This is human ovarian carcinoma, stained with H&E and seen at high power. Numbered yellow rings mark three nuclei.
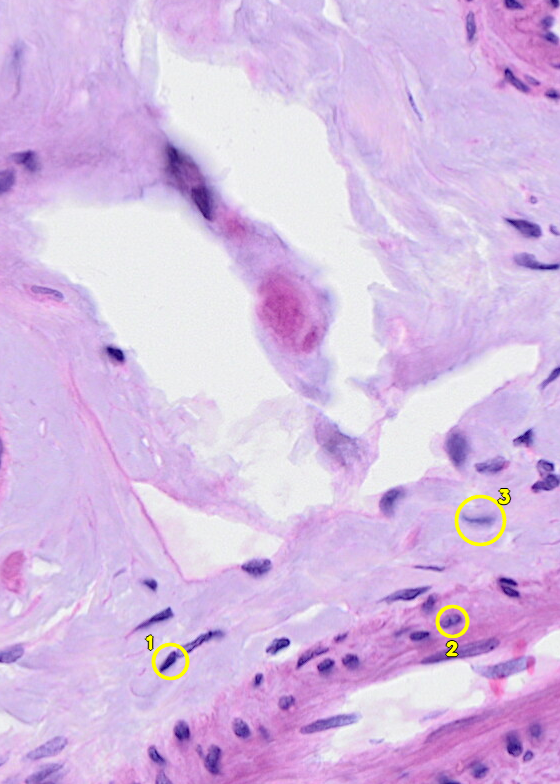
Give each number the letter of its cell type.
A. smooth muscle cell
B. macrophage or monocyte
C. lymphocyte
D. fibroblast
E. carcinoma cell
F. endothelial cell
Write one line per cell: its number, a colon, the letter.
1: D
2: A
3: D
